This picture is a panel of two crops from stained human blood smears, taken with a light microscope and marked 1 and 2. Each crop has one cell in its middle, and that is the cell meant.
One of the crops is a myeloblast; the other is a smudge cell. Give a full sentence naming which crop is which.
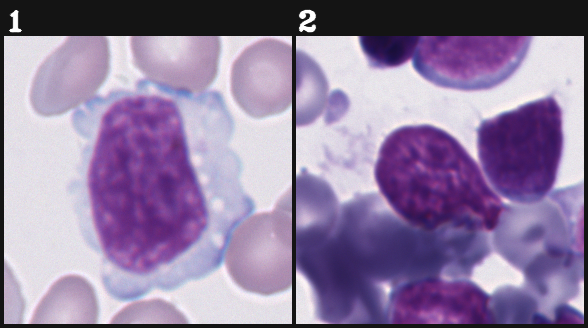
As for crop 1, it is a myeloblast; crop 2, by contrast, is a smudge cell.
